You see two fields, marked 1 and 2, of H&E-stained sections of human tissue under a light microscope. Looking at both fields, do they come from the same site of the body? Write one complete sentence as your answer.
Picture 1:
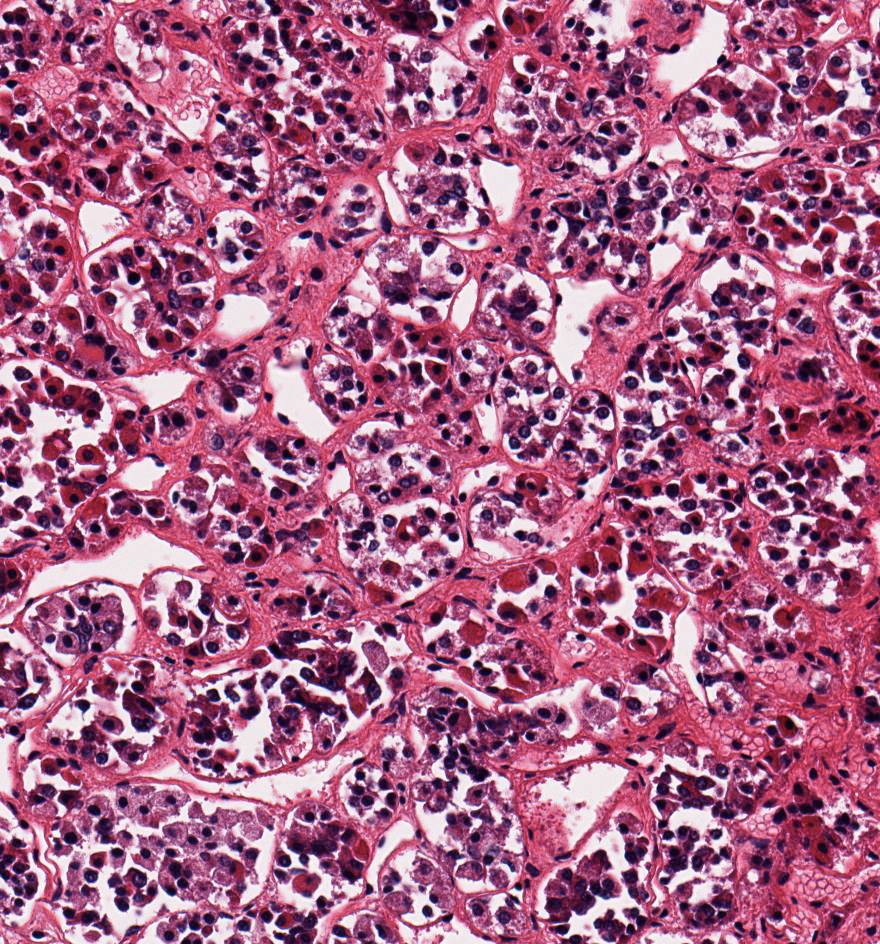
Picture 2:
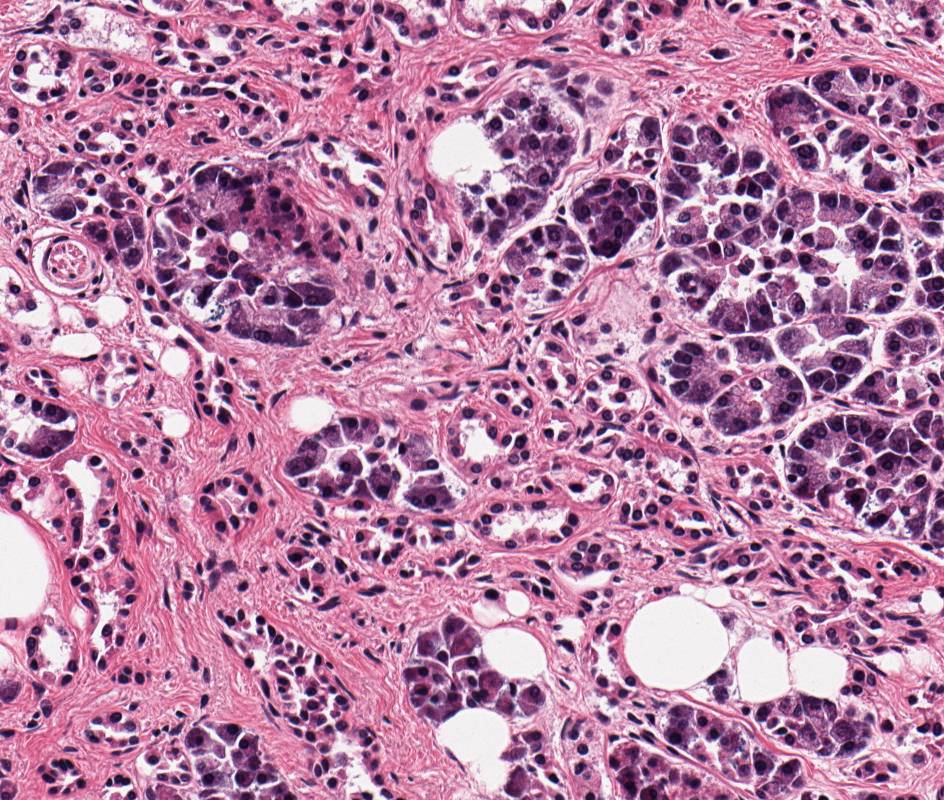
No. Picture 1 comes from the pituitary, whereas picture 2 comes from the pancreas.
